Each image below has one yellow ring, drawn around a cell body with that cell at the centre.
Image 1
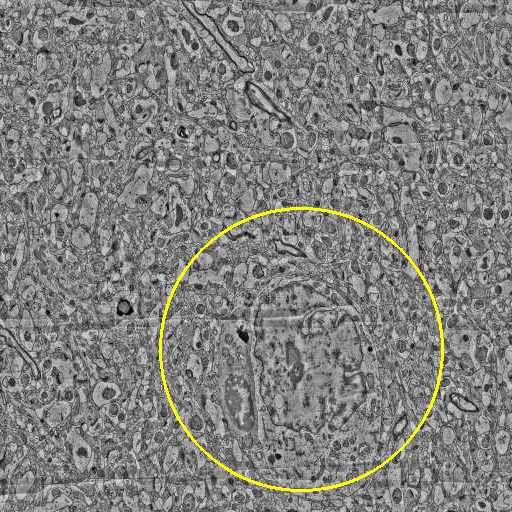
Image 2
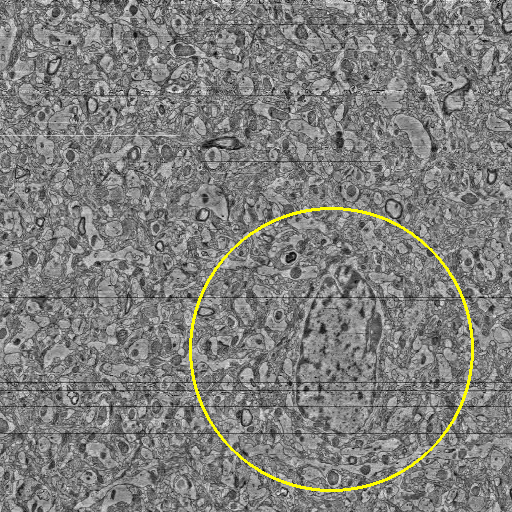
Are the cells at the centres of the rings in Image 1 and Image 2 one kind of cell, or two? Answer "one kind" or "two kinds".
two kinds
